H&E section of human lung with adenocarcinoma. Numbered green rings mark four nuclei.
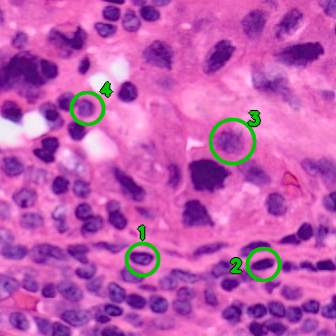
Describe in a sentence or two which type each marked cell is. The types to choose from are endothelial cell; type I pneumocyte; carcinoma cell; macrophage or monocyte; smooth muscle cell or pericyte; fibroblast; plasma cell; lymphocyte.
Cell 1 is a lymphocyte, cell 2 is a lymphocyte, cell 3 is a carcinoma cell and cell 4 is a lymphocyte.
